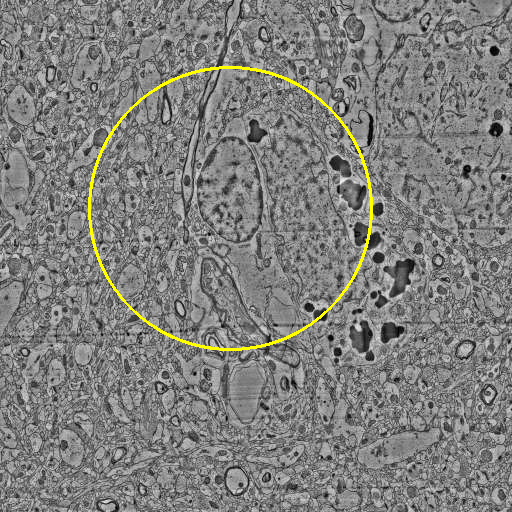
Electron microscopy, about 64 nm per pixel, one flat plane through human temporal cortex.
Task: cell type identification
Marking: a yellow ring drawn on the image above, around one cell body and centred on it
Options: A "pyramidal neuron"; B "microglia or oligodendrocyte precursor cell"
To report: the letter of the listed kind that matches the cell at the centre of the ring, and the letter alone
B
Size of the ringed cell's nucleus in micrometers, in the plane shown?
The nucleus is about 7 micrometres in length and 4 in width, clearly longer than it is wide in this plane.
